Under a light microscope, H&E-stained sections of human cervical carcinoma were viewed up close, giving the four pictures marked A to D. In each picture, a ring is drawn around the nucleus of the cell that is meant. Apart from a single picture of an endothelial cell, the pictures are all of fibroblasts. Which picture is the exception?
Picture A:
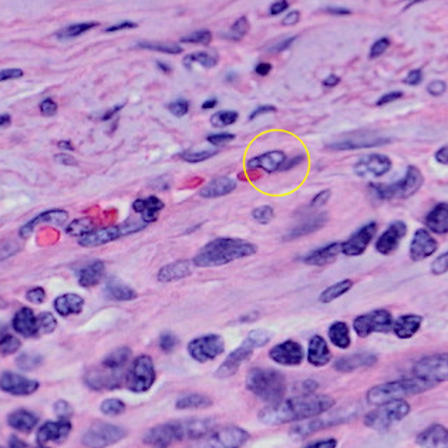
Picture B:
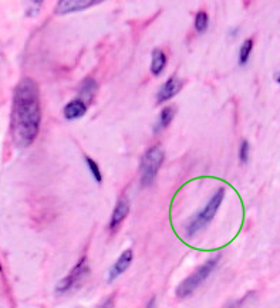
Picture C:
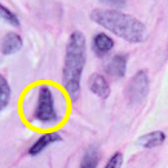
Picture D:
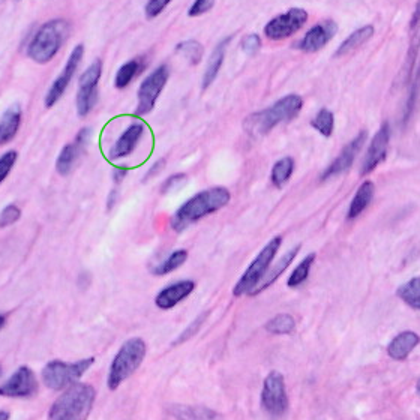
A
